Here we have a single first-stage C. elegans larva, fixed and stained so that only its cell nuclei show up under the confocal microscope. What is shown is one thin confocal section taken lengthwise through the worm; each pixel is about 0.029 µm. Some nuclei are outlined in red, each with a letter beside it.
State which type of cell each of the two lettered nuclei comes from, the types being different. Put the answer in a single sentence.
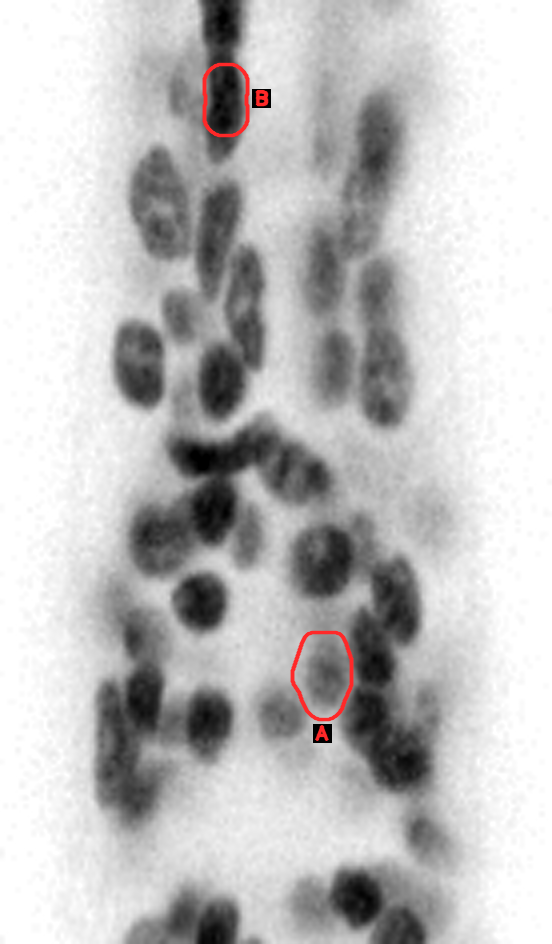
One is from a neuron, namely A, and the other, B, is from a pharyngeal epithelial cell.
